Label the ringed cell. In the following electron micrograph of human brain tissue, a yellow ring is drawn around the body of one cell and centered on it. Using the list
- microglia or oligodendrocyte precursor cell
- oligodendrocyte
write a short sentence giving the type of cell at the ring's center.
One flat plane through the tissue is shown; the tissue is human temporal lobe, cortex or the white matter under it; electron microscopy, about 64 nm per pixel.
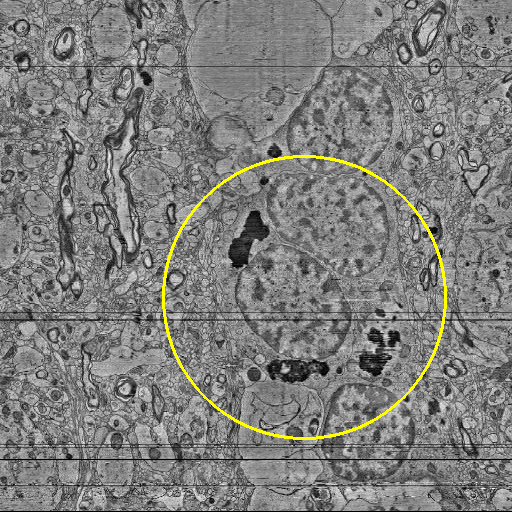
The cell body at the ring's center is that of an oligodendrocyte.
